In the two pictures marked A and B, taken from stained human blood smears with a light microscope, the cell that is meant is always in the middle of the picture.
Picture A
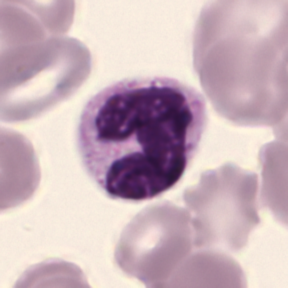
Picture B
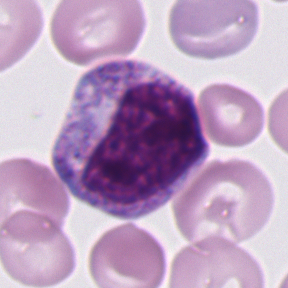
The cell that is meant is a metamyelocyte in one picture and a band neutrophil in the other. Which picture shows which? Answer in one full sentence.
In picture A the cell is a band neutrophil; in picture B, a metamyelocyte.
